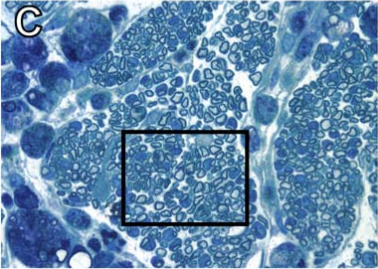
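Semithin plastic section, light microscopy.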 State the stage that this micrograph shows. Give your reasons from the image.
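Dense groups of small dark-rimmed axon profiles. Large round cell bodies with dark-staining nuclei and cytoplasm lie among and beside the axon groups.
Hence: peripheral myelination.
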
